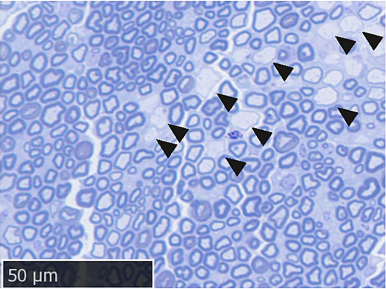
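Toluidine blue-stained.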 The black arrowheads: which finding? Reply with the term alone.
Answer: Demyelinated axons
